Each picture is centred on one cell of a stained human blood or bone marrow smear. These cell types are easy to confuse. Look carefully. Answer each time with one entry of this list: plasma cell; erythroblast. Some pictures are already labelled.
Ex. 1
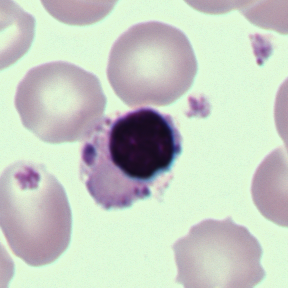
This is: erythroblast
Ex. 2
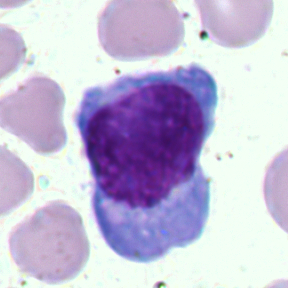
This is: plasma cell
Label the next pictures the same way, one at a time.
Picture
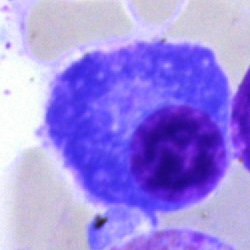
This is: plasma cell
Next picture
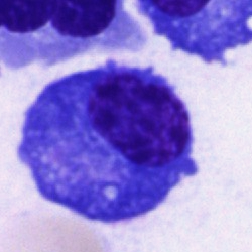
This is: plasma cell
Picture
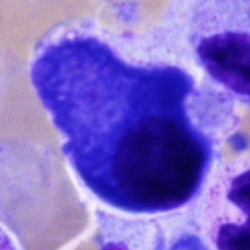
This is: plasma cell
